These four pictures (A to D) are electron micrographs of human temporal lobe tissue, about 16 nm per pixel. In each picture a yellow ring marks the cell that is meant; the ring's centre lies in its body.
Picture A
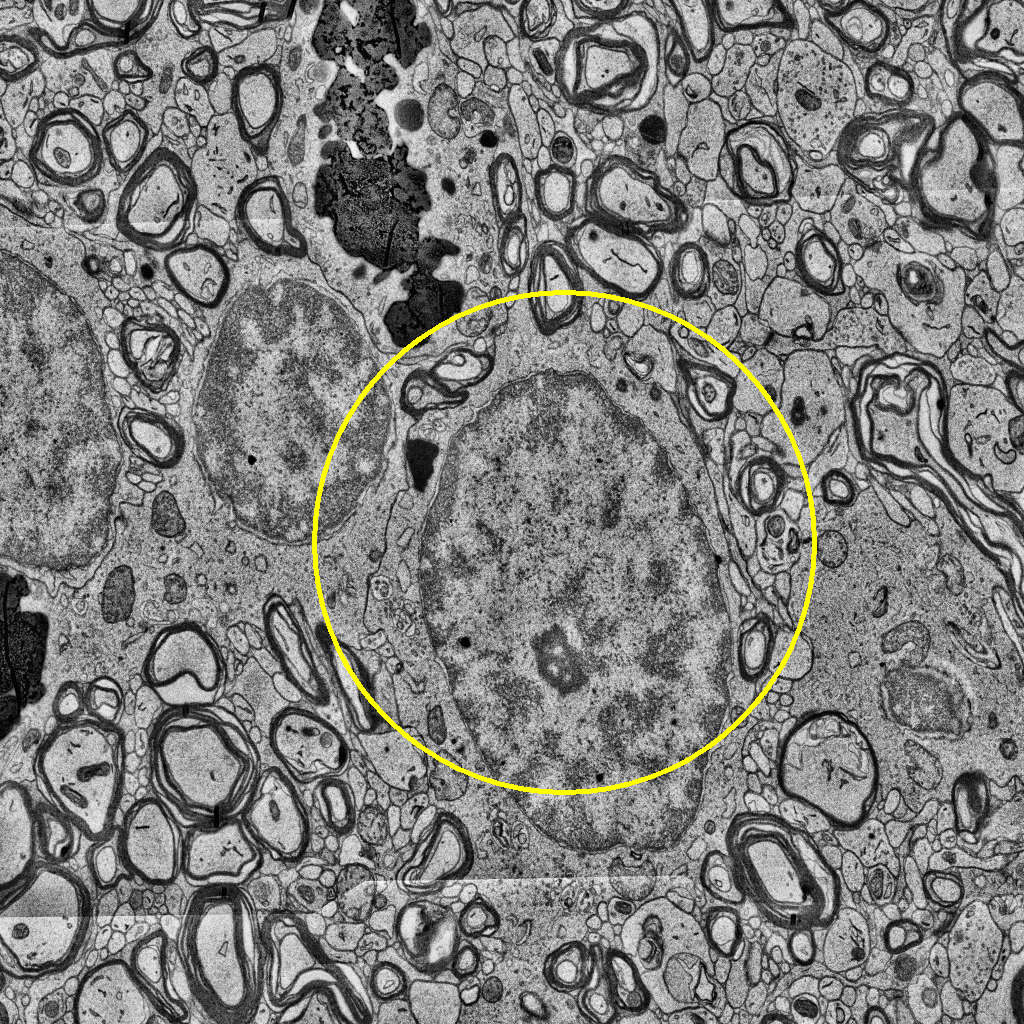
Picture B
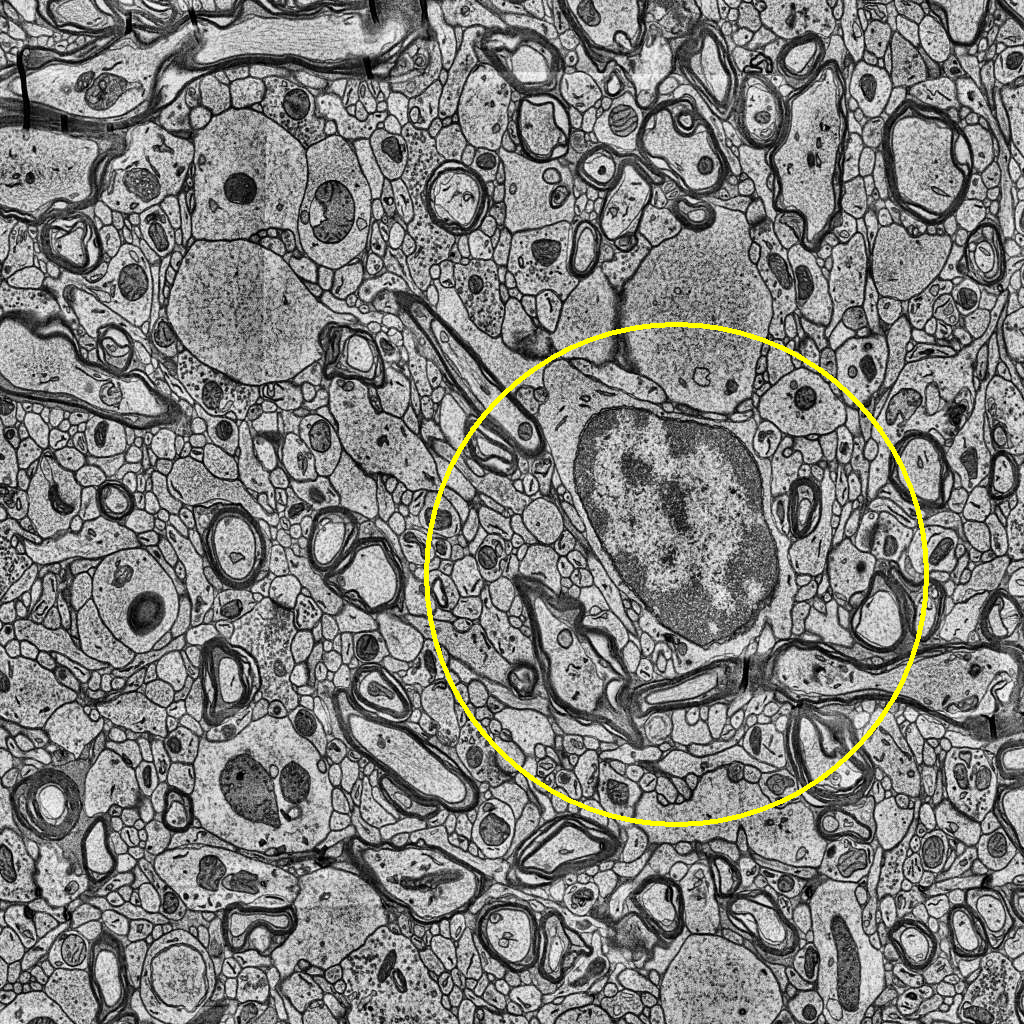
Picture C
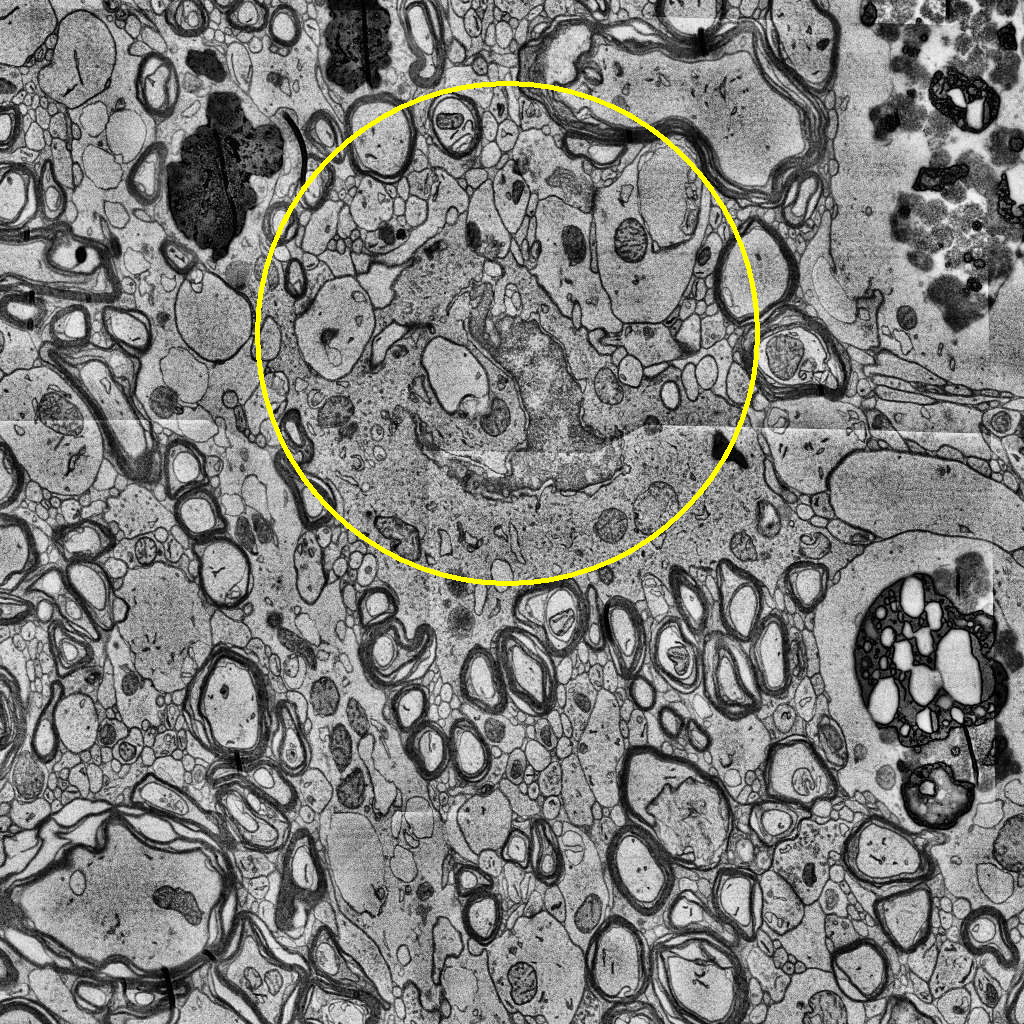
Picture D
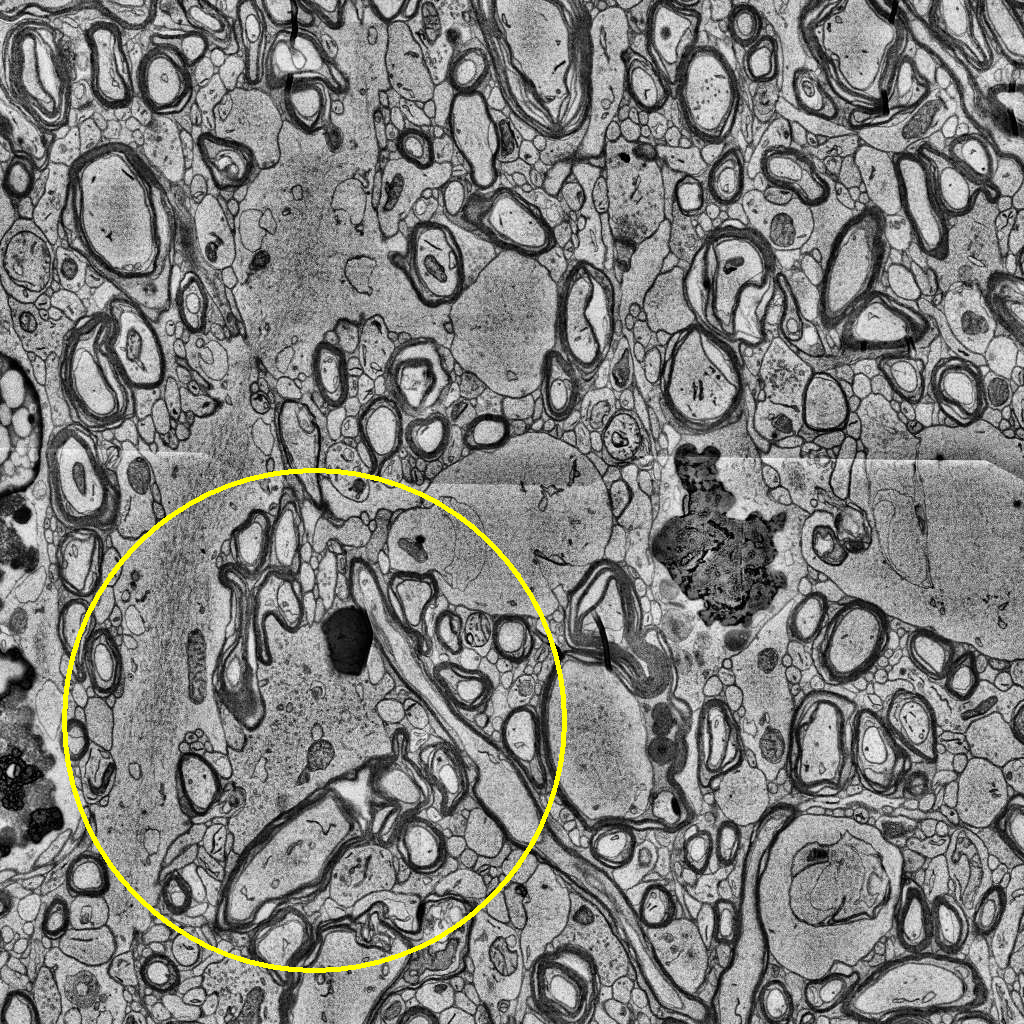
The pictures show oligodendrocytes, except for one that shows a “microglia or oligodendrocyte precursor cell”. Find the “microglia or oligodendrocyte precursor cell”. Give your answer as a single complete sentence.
Picture B shows the “microglia or oligodendrocyte precursor cell”.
